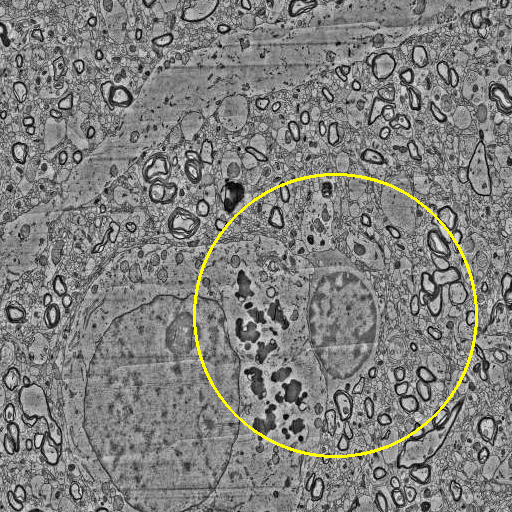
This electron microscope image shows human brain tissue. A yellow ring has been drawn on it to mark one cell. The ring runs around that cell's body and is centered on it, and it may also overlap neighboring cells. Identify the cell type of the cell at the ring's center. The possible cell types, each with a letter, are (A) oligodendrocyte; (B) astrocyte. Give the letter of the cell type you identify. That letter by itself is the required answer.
A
